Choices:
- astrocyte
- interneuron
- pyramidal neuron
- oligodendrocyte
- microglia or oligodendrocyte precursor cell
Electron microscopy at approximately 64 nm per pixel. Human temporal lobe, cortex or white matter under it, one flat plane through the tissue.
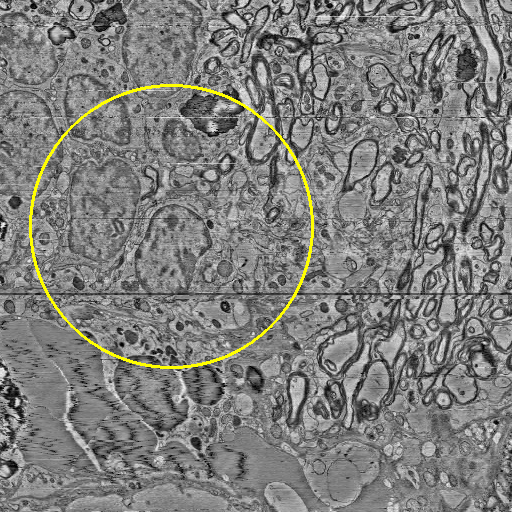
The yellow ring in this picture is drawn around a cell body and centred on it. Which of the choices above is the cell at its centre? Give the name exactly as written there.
microglia or oligodendrocyte precursor cell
